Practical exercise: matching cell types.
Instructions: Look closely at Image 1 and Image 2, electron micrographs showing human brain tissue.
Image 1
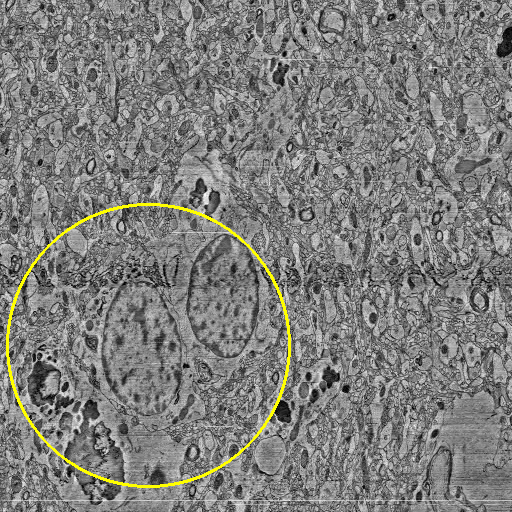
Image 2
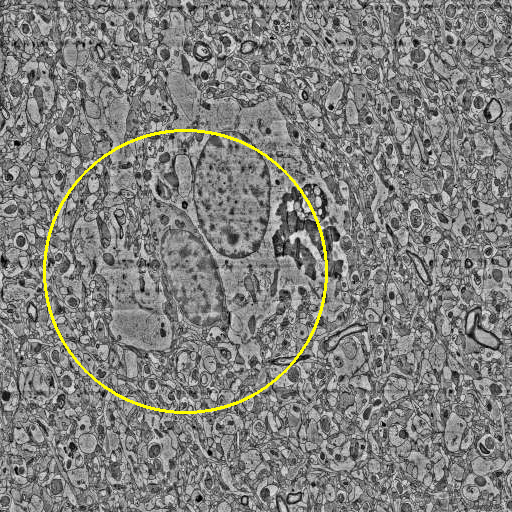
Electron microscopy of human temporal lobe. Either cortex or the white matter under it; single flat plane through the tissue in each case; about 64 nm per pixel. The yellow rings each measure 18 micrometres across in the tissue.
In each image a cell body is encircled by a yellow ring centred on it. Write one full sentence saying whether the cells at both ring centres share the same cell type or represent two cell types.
Across Image 1 and Image 2, the cells at the ring centres represent two cell types.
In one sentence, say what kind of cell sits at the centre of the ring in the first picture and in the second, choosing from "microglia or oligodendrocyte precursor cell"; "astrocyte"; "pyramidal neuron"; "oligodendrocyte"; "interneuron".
The first picture's ringed cell is an astrocyte, while the second picture's is an oligodendrocyte.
